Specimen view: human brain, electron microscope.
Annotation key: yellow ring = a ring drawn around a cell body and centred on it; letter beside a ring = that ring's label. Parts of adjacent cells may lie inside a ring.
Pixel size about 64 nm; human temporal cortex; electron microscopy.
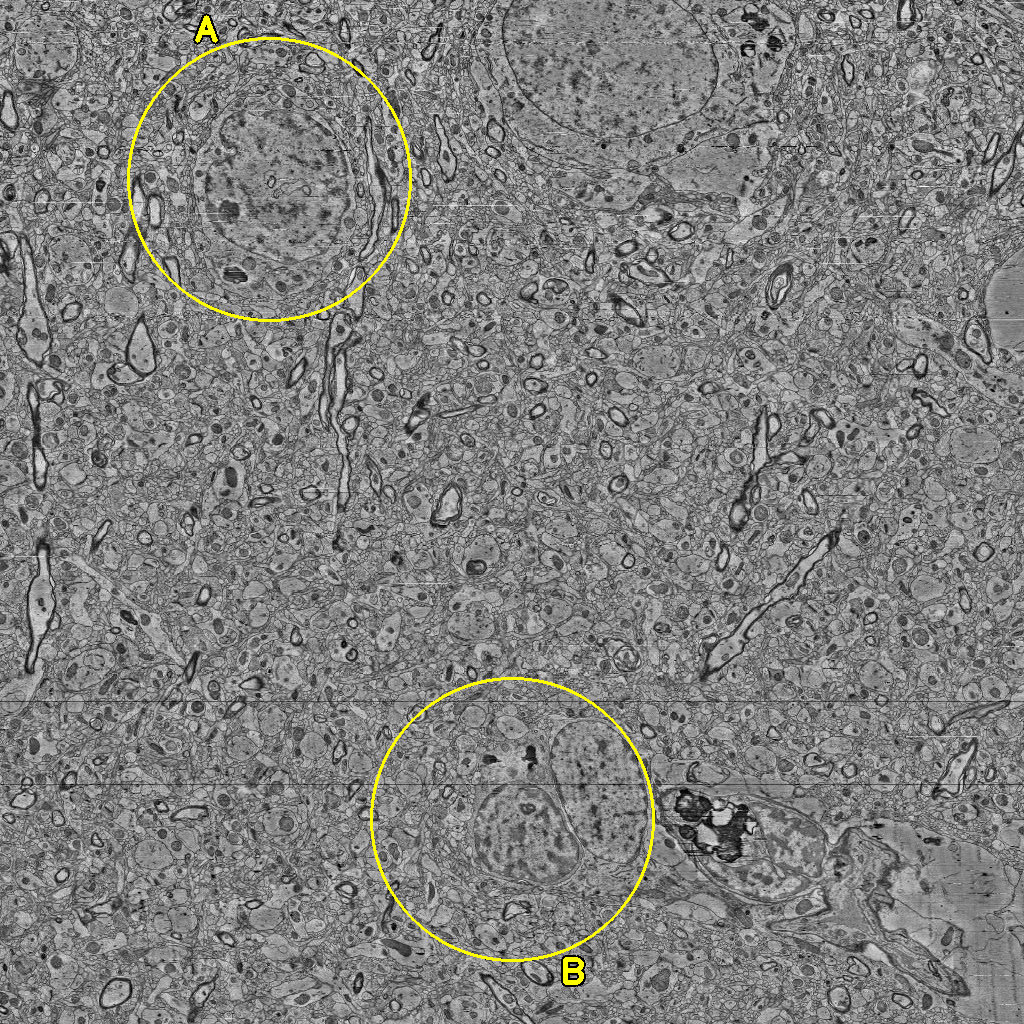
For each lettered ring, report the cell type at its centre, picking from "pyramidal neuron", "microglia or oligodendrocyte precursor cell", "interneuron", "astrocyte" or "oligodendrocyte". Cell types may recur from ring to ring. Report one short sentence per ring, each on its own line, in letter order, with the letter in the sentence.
The cell at the centre of ring A is an interneuron.
The cell at the centre of ring B is an oligodendrocyte.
